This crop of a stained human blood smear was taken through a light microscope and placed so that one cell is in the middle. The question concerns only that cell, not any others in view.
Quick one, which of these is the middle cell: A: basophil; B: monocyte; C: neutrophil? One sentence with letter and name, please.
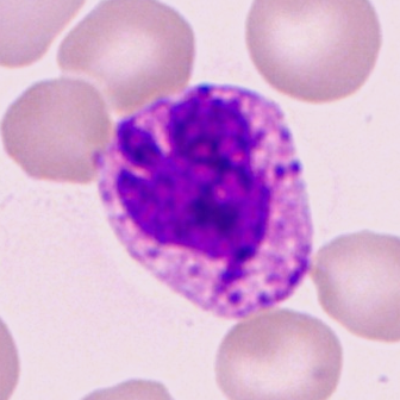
The cell in the centre of the crop is a basophil, so option A is the correct one.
